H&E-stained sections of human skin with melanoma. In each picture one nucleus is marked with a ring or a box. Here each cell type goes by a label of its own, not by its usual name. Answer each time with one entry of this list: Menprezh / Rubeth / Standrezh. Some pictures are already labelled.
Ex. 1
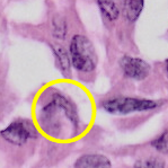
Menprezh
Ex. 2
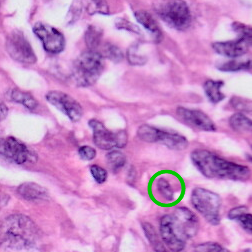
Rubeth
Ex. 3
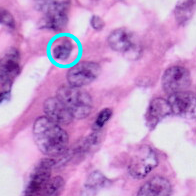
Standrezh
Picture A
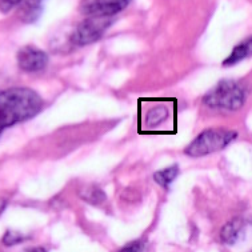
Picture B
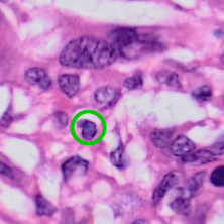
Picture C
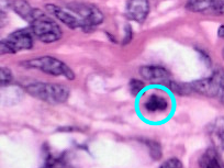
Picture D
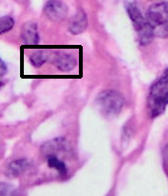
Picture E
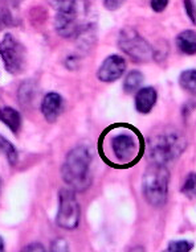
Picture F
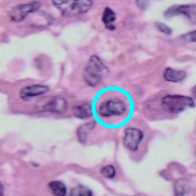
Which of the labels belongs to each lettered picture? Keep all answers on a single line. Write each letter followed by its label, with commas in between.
A Rubeth, B Standrezh, C Standrezh, D Rubeth, E Standrezh, F Rubeth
